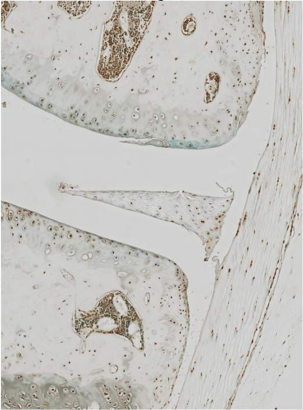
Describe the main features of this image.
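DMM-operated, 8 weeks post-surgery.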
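Knee joint with articular cartilage, meniscus and joint capsule. Rounded chondrocytes in lacunae of the pale cartilage capping both bone ends carry brown nuclei; a triangular meniscus with scattered small brown-stained cells projects into the joint space. Along the right edge a fibrous capsule of elongated brown-stained cells closes the joint, and the marrow spaces of the underlying bone stain densely brown.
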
